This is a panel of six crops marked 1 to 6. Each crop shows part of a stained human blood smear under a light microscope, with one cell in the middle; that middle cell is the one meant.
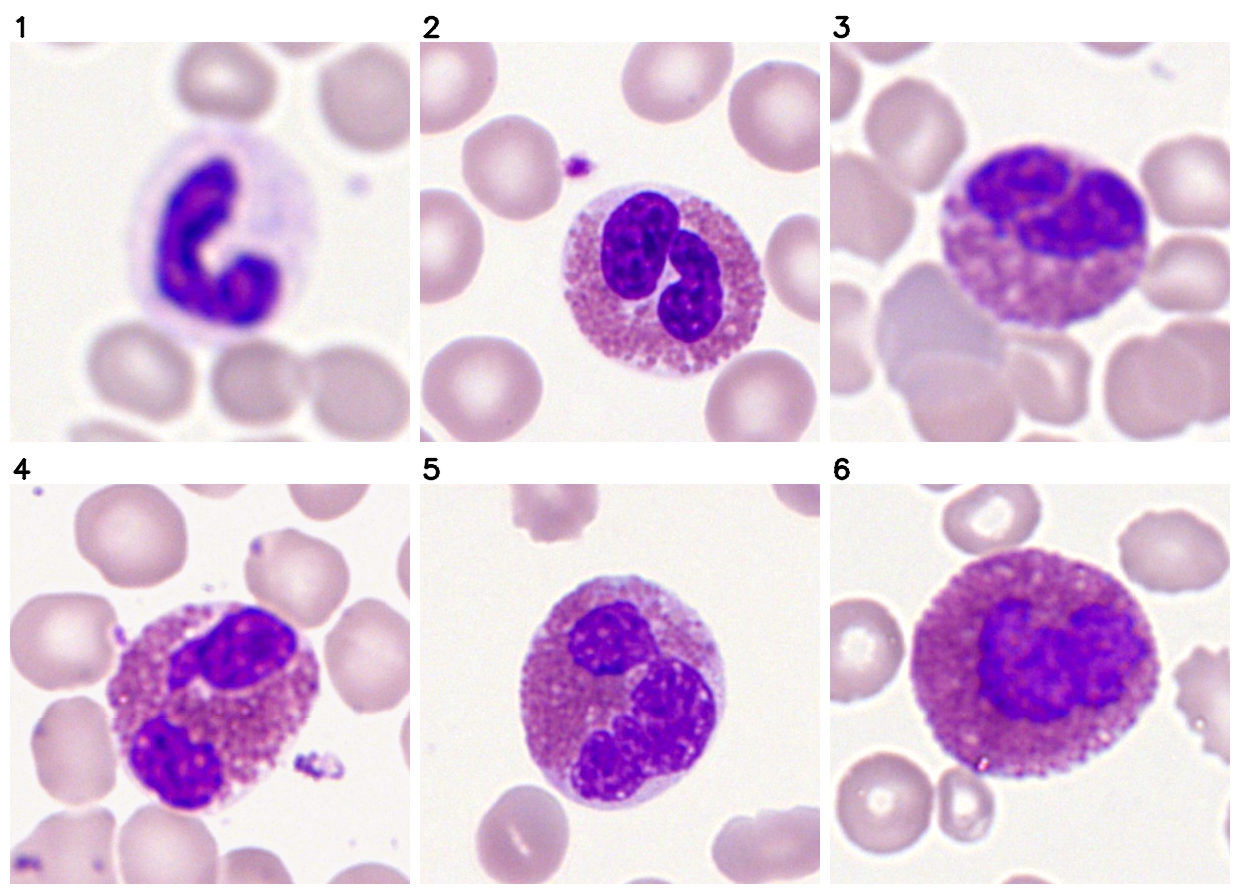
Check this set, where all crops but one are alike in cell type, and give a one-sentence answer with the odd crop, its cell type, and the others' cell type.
In this set, all crops show eosinophils apart from crop 1, which is a band neutrophil.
